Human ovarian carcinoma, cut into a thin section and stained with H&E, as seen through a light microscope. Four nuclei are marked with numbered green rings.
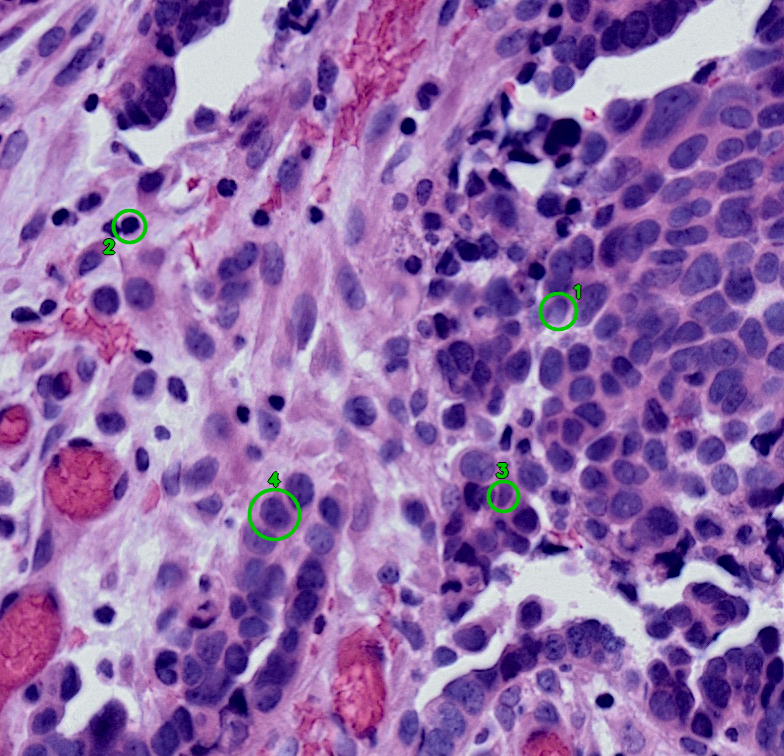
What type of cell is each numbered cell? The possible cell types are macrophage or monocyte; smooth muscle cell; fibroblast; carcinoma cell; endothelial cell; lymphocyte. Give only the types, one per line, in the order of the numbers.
carcinoma cell
lymphocyte
carcinoma cell
carcinoma cell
